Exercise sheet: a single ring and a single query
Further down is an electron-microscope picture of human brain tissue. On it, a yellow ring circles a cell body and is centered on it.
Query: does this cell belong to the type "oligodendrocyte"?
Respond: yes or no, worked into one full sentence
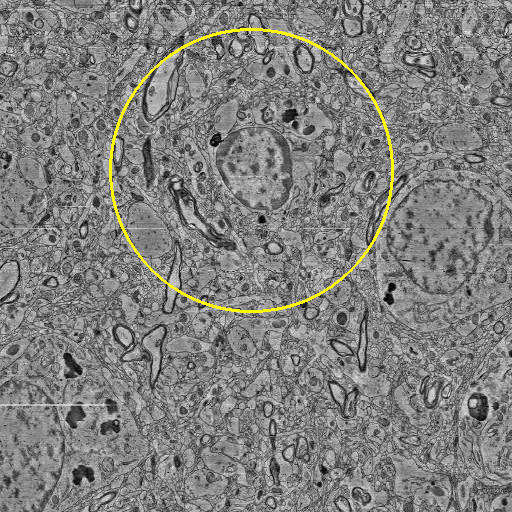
No, this ringed cell, found at the center of the ring in the picture, is of a different type.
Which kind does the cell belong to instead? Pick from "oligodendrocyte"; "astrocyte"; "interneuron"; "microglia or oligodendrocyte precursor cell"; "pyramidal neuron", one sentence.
In this picture, the ring is centred on a microglial cell or oligodendrocyte precursor cell.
